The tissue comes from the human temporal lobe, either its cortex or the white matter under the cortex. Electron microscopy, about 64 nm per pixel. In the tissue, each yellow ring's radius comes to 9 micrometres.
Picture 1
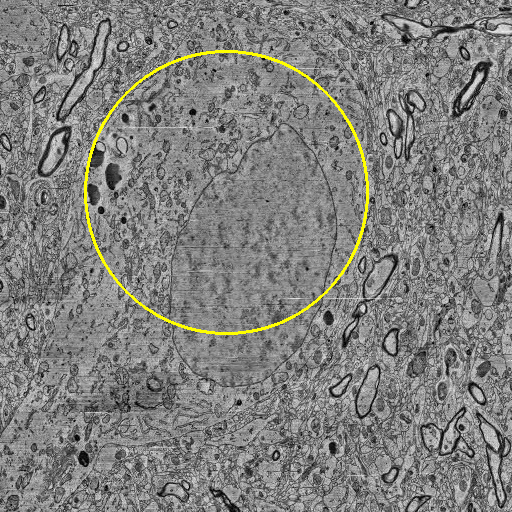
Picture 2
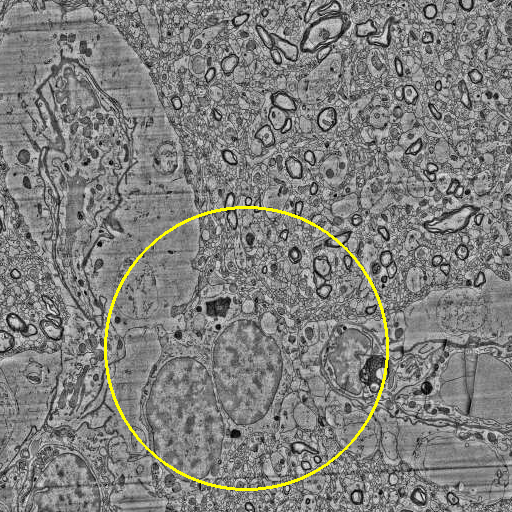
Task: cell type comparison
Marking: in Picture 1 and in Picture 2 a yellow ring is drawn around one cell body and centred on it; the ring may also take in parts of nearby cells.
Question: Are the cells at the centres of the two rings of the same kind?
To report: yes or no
no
